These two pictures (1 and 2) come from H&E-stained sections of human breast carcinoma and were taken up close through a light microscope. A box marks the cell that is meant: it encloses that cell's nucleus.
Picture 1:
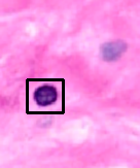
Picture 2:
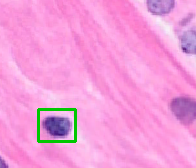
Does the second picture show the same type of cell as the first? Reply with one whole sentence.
Yes, the two pictures both show lymphocytes.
